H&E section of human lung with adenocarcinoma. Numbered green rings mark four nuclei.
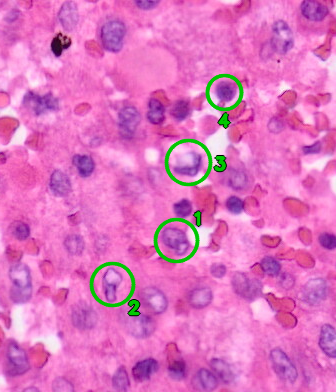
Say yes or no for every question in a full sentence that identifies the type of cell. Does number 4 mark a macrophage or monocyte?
No, the cell carrying number 4 is a lymphocyte, not a macrophage or monocyte.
